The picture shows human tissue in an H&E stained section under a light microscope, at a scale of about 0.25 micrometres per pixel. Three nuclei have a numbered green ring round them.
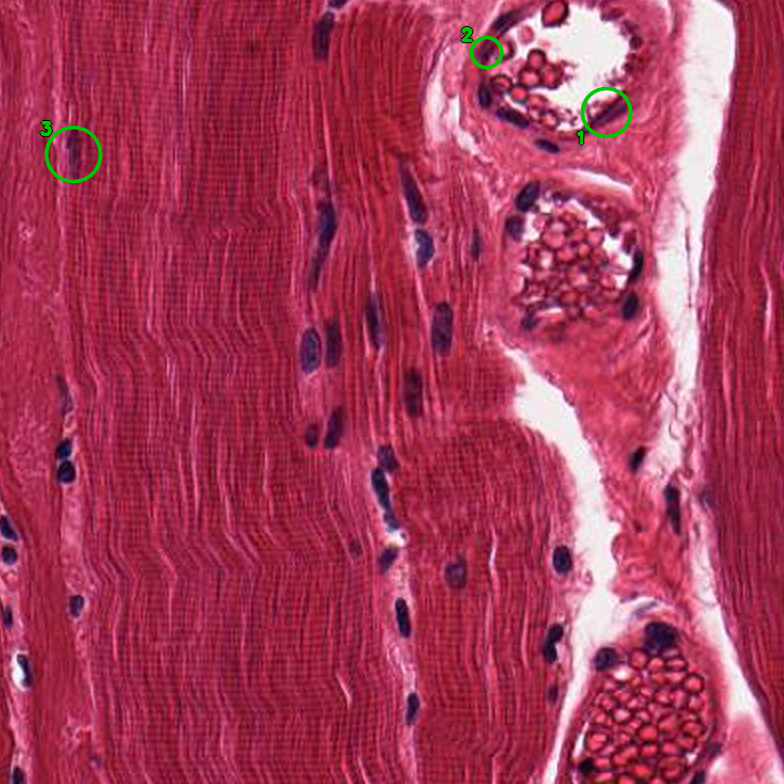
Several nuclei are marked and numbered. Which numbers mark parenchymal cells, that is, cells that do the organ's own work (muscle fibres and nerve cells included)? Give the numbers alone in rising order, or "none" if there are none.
3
